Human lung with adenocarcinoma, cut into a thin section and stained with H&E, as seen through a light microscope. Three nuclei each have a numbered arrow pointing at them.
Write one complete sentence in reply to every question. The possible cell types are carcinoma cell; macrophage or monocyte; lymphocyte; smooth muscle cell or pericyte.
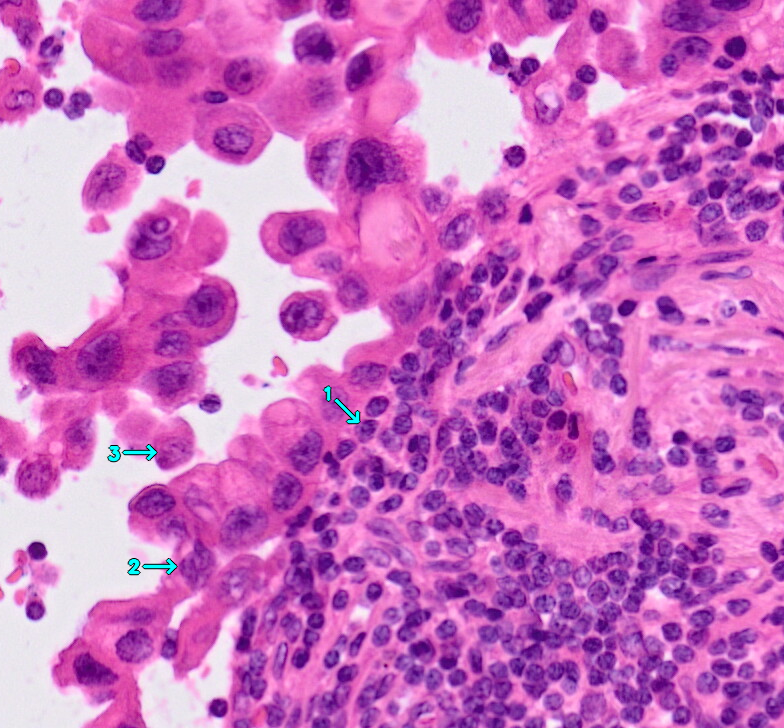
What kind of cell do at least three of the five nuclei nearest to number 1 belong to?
Lymphocytes make up most of the five nuclei closest to number 1.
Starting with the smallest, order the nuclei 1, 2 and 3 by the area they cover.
Smallest first, the nuclei run 1, 3, 2.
